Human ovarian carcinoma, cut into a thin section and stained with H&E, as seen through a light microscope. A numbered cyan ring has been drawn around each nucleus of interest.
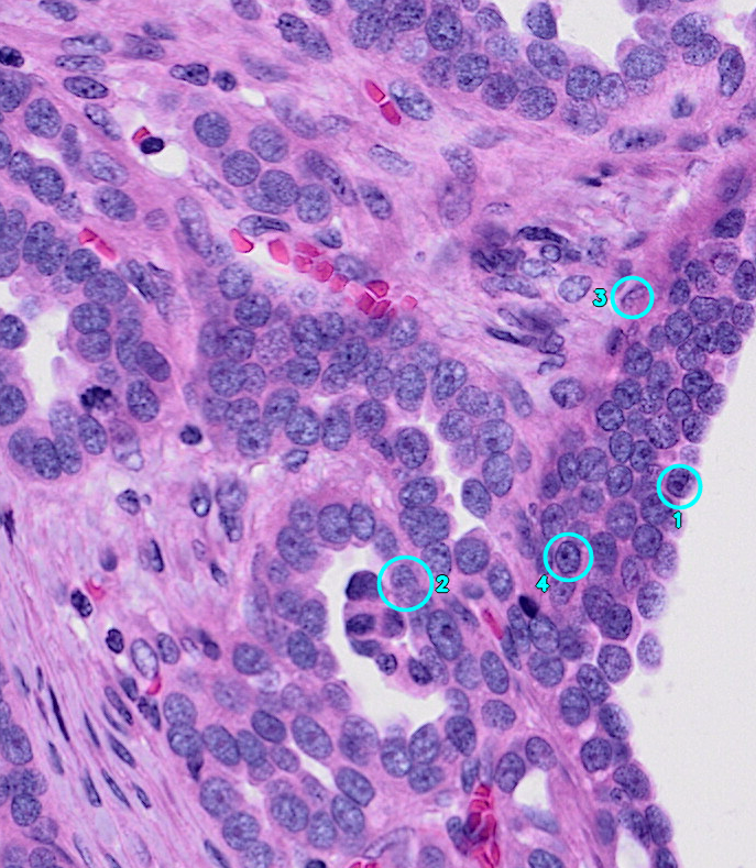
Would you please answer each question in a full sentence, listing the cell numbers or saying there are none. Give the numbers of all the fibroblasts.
Cell 3 is the one numbered cell that is a fibroblast.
